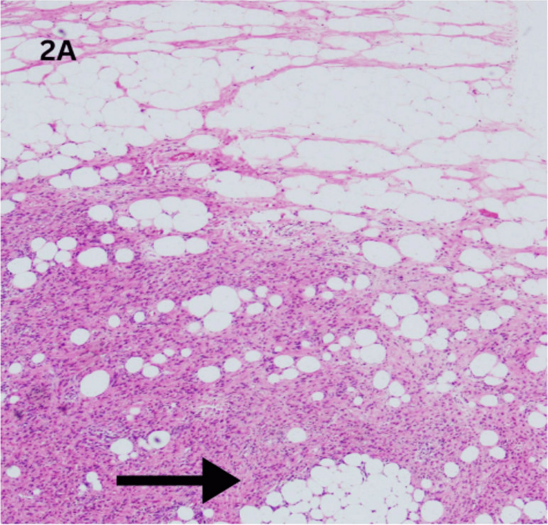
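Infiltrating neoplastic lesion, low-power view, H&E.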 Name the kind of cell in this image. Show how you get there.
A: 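Spindle cells. A pink cellular band of elongated cells runs between fat lobules.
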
